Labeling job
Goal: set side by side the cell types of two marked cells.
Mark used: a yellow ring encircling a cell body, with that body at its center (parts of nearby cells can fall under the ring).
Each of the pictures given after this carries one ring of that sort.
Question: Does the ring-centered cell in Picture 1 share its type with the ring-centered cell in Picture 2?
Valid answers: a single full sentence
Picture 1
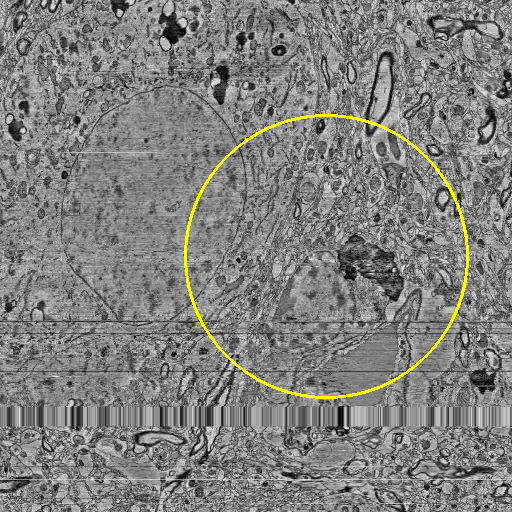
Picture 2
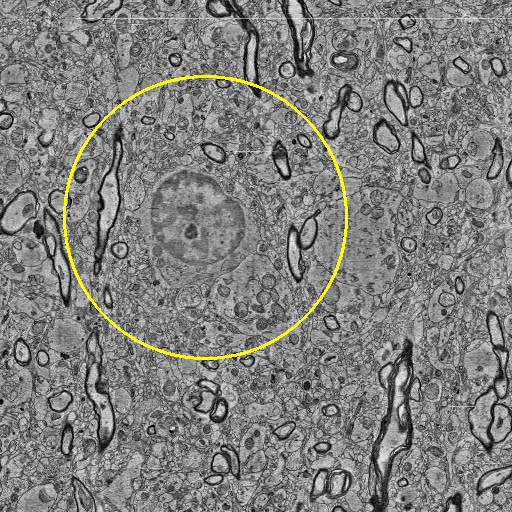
Yes, in Pictures 1 and 2 the cells at the ring centers share one type.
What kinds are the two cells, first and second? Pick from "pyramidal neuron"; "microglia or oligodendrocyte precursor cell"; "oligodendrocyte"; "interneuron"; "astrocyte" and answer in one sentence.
The cell in the first picture is an oligodendrocyte, and so is the one in the second.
